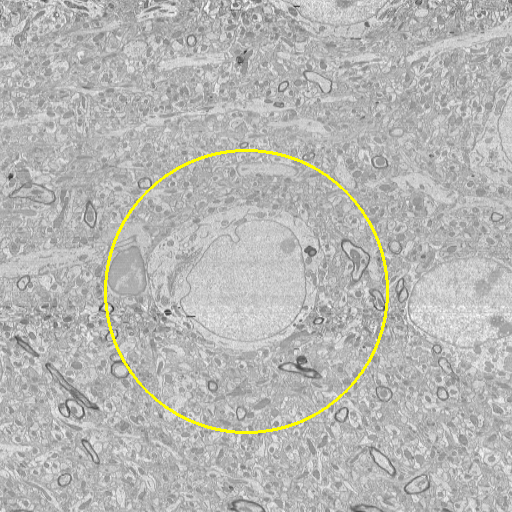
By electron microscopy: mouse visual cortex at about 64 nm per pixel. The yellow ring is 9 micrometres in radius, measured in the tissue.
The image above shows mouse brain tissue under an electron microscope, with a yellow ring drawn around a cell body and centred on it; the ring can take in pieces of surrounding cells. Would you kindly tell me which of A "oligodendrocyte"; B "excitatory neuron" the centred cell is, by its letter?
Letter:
B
